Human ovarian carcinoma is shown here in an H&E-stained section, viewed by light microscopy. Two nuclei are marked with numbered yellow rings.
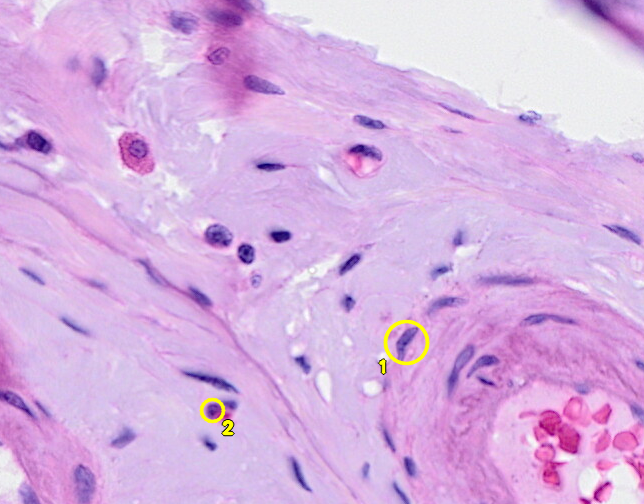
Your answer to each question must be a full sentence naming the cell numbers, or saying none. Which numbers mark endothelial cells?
Only the cell with the number 2 is an endothelial cell.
